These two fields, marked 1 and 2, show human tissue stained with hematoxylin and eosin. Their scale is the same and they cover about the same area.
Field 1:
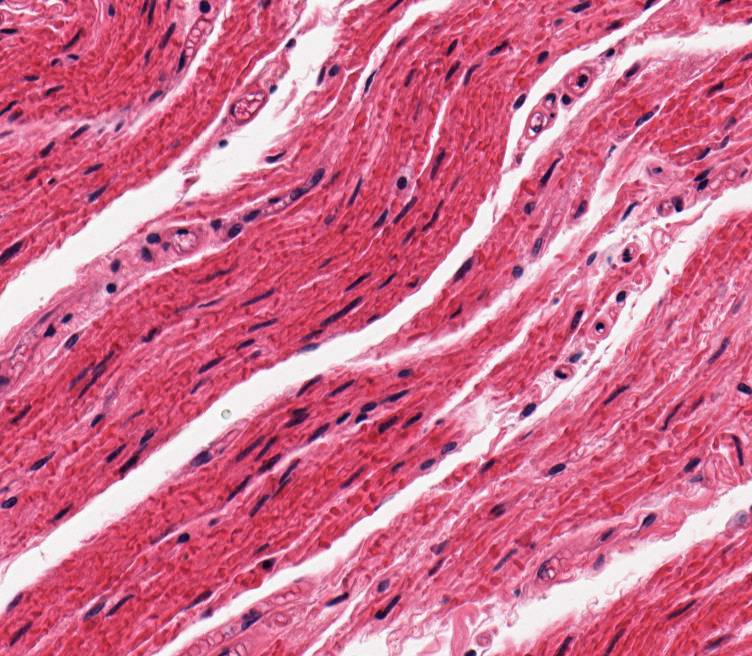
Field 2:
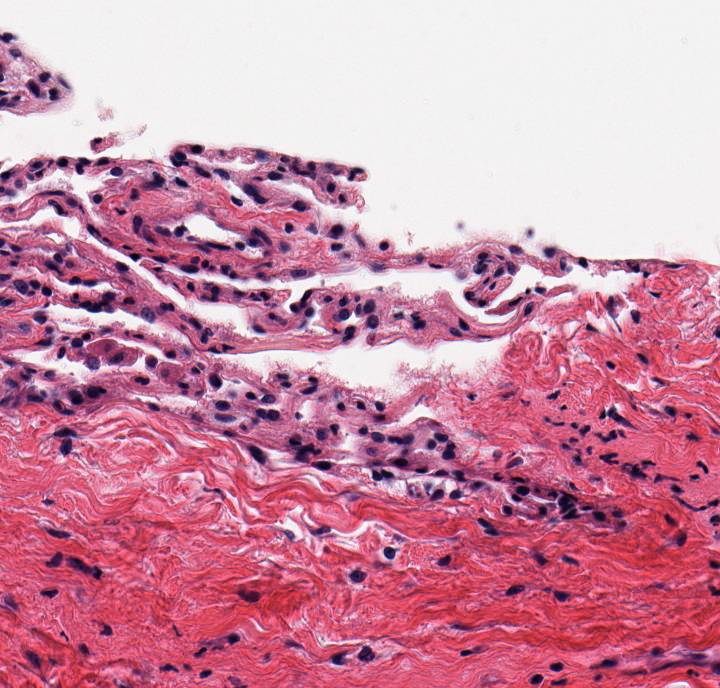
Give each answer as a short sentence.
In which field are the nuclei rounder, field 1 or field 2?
On the whole the nuclei of field 2 are rounder than those of field 1.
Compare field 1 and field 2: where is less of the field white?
Field 1 has less white space.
